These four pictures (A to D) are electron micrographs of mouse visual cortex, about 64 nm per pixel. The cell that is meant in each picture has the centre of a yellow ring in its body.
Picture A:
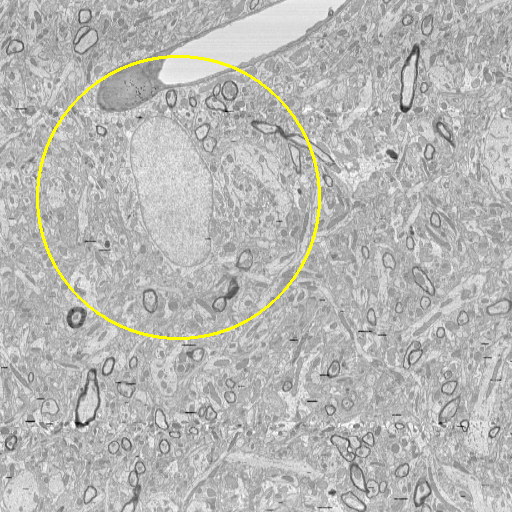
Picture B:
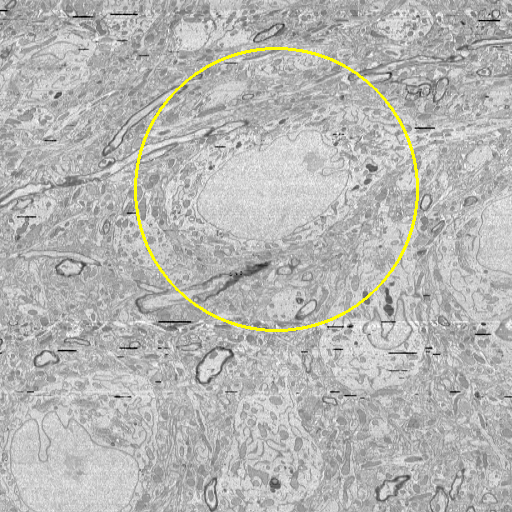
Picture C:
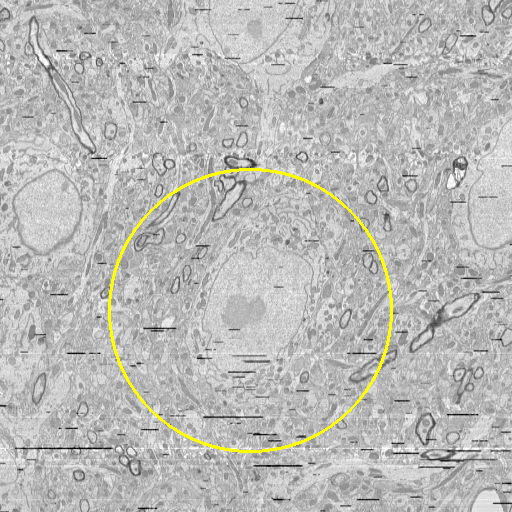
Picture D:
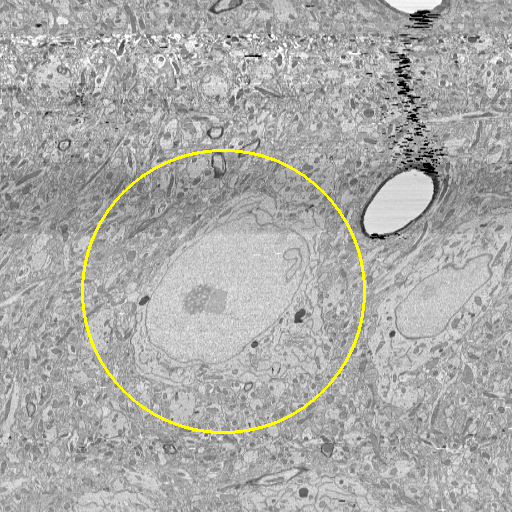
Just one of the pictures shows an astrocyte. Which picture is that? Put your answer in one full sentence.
Picture A is the one that shows the astrocyte.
